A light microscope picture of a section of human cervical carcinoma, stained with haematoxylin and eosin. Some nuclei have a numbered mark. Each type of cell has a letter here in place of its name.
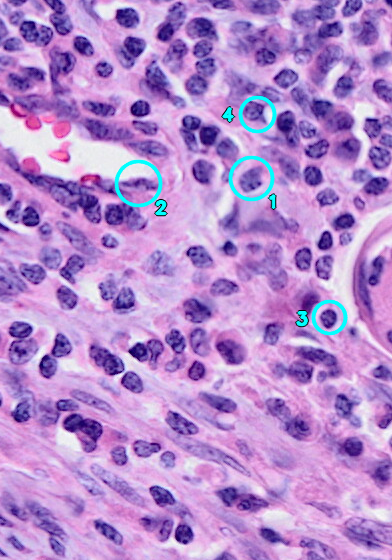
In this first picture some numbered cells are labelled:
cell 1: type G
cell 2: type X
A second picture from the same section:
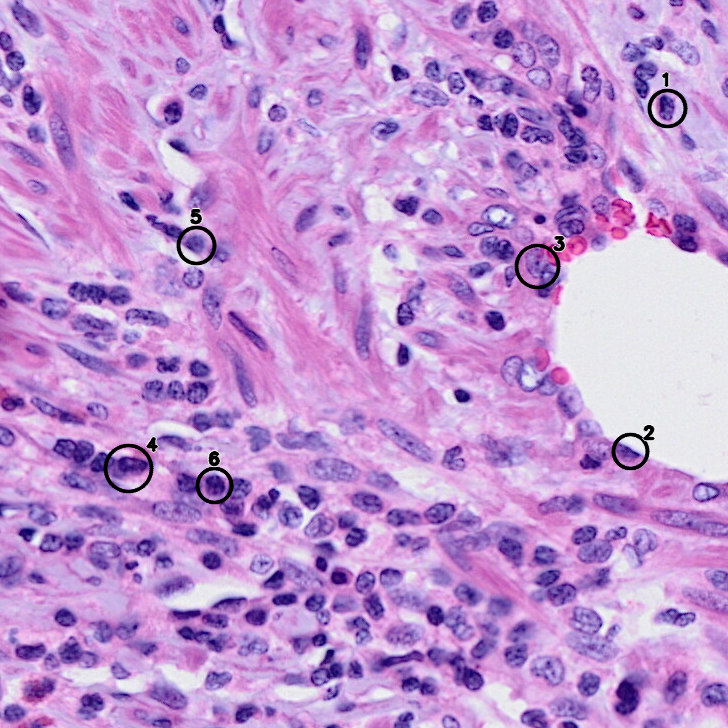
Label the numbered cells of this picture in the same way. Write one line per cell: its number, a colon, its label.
1: type G
2: type X
3: type X
4: type G
5: type G
6: type G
